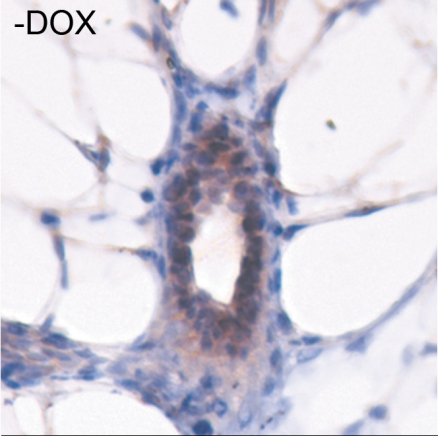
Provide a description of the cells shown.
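This is a section of mammary gland showing a small duct sitting among large, pale fat cells. The epithelial cells crowded around the central lumen are strongly stained brown, with their nuclei partly hidden by the colour, and a thin layer of stroma with elongated blue nuclei surrounds the duct.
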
